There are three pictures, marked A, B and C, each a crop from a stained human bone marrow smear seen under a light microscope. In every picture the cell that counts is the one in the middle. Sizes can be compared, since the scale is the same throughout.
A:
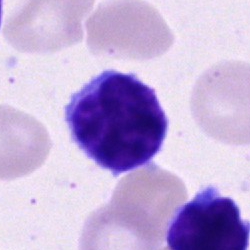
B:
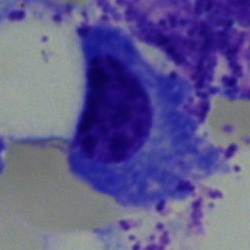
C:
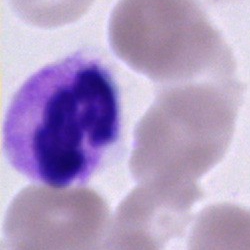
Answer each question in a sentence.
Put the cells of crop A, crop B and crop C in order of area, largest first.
The order is B, C, A, beginning with the largest.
